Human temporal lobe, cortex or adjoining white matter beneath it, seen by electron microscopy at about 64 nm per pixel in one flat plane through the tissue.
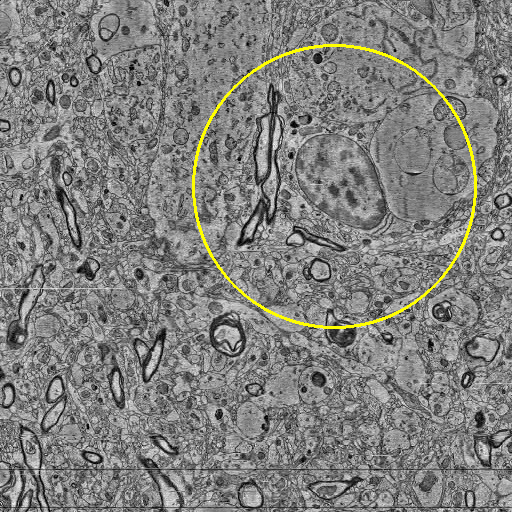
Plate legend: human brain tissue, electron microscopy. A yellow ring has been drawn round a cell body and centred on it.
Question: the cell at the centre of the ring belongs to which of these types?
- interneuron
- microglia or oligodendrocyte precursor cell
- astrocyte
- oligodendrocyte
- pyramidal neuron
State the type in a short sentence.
The cell in the middle of the ring is a microglial cell or oligodendrocyte precursor cell.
